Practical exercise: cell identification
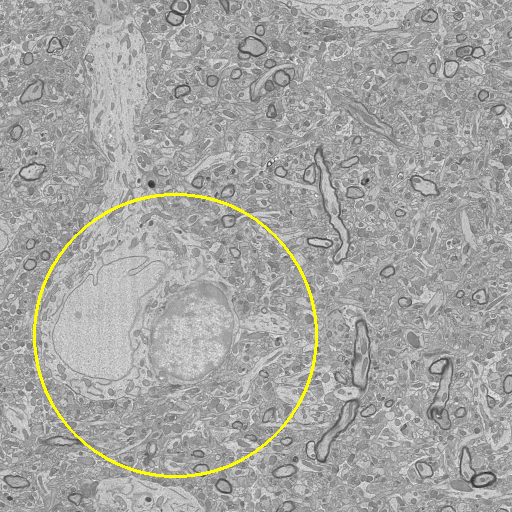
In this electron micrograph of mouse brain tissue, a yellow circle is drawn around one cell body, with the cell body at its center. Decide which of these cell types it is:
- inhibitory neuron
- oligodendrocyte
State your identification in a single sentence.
The ringed cell is an oligodendrocyte.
